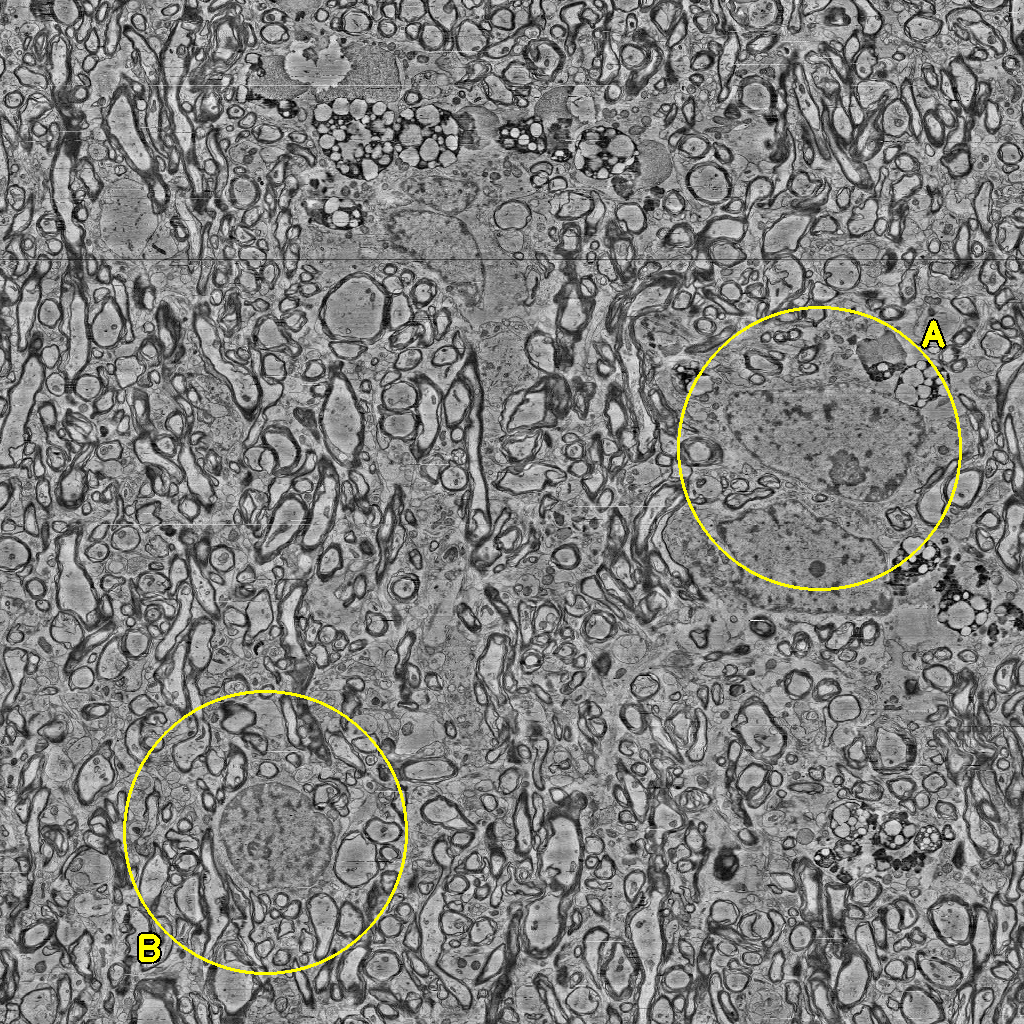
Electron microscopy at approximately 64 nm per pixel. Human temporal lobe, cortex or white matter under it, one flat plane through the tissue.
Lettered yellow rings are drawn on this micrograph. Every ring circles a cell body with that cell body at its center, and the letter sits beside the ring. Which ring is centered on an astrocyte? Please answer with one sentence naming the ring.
Ring A has it at its center.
